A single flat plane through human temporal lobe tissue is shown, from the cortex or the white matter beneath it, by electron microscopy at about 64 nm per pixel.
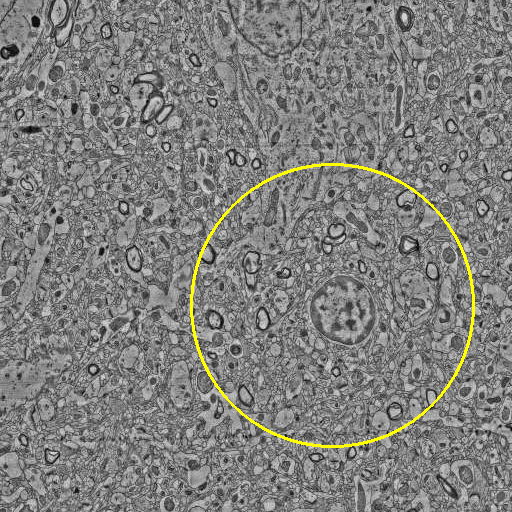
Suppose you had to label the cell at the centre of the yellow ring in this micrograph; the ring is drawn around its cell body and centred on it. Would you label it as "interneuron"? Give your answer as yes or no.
No, I would label it as another kind.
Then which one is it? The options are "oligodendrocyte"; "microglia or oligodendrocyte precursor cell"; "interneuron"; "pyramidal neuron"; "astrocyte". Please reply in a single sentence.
The correct answer is that the cell is a microglial cell or oligodendrocyte precursor cell.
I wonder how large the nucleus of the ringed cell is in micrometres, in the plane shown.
The nucleus measures about 4 micrometers across in this plane.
